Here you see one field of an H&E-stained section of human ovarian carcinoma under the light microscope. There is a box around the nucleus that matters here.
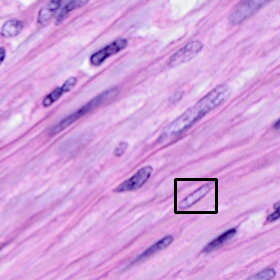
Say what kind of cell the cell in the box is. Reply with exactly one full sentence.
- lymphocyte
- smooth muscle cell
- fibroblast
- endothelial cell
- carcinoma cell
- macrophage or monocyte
The identity of the cell in the box is that of a fibroblast.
